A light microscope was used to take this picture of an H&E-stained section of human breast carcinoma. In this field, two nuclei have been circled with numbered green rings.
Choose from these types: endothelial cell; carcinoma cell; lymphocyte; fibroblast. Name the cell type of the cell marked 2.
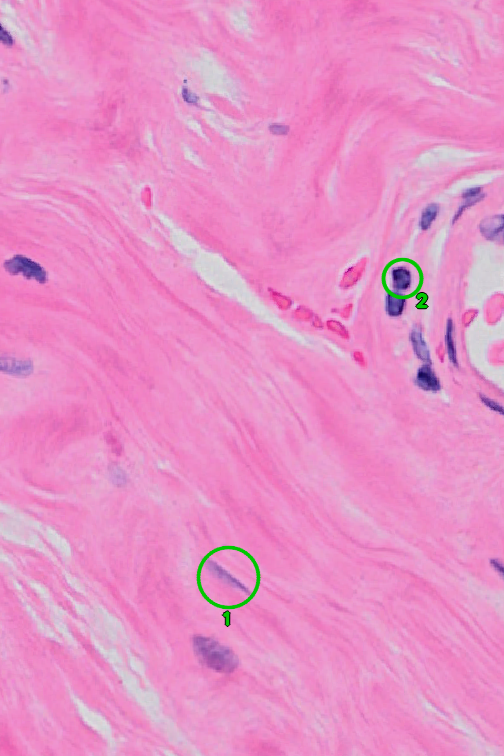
lymphocyte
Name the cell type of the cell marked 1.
fibroblast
